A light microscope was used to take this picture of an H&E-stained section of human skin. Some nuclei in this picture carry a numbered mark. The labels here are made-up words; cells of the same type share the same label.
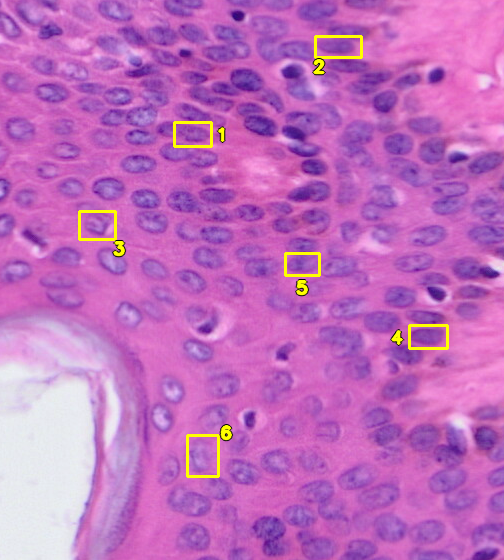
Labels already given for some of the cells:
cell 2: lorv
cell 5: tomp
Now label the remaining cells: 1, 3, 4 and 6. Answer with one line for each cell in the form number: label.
1: lorv
3: tomp
4: lorv
6: tomp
